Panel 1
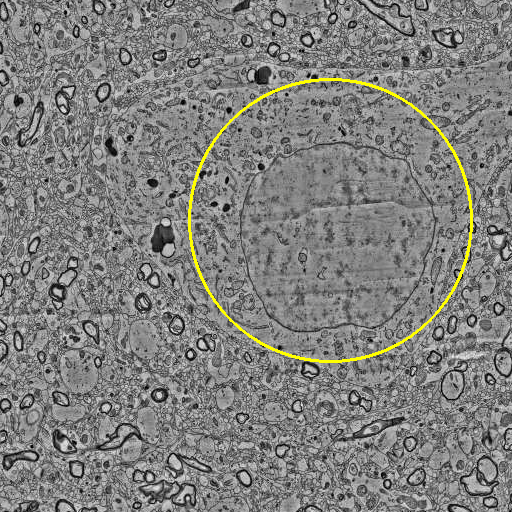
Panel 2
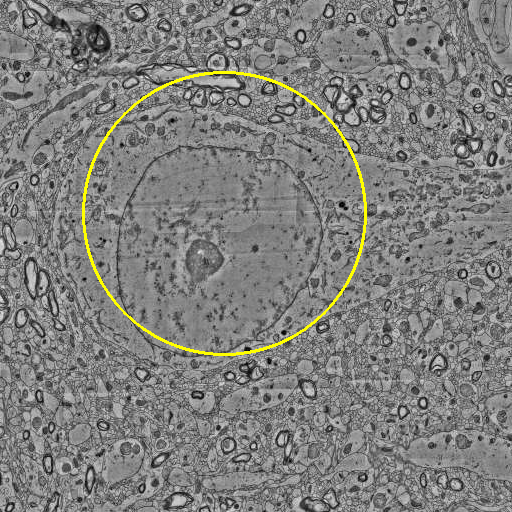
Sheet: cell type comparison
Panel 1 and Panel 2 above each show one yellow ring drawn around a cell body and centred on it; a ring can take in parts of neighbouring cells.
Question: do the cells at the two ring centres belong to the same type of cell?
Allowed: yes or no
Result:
yes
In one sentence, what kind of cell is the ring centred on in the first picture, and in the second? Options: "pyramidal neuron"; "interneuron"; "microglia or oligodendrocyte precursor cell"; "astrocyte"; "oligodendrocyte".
In both pictures the ring is centred on a pyramidal neuron.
